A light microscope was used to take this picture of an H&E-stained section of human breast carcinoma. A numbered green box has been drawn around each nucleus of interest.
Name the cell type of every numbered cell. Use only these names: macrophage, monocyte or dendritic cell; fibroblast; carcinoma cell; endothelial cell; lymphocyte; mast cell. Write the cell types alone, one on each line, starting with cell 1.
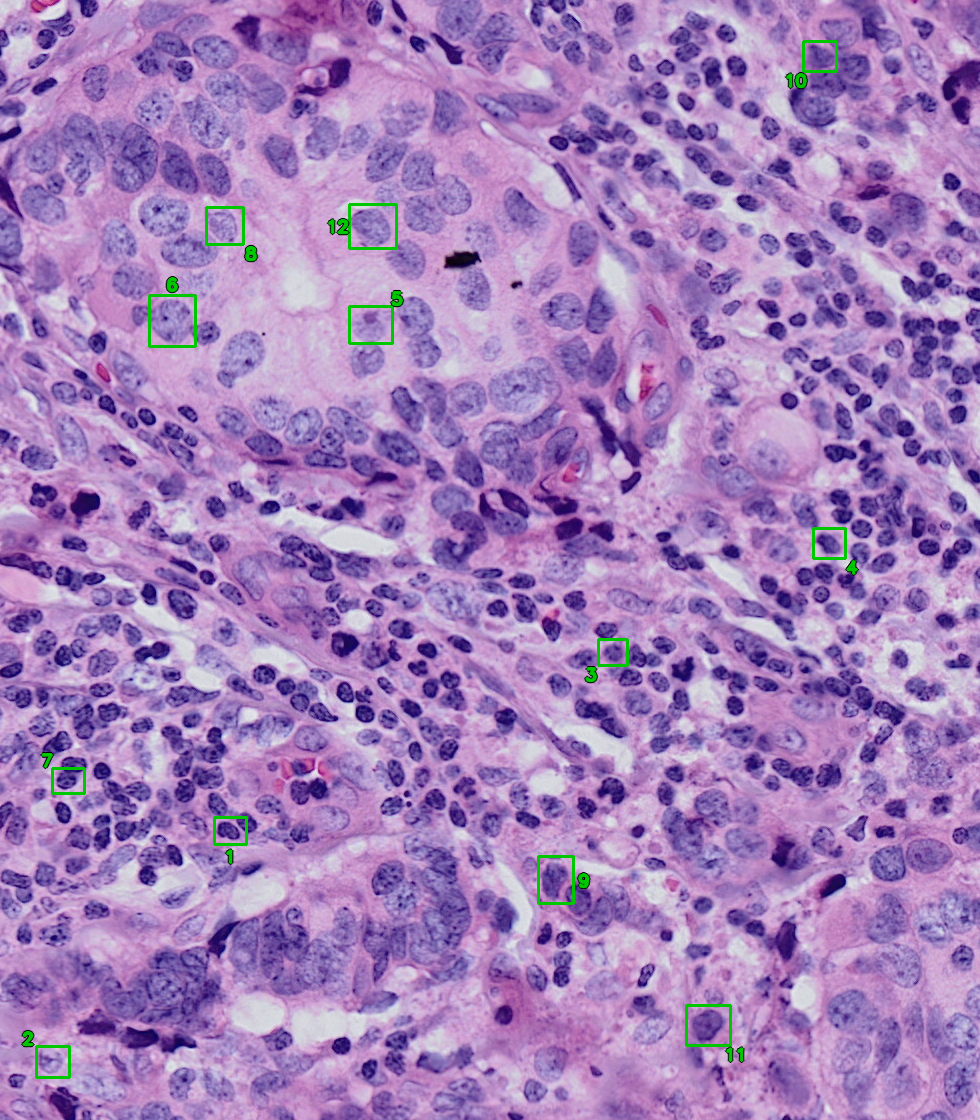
lymphocyte
macrophage, monocyte or dendritic cell
lymphocyte
lymphocyte
carcinoma cell
carcinoma cell
lymphocyte
carcinoma cell
carcinoma cell
carcinoma cell
carcinoma cell
carcinoma cell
